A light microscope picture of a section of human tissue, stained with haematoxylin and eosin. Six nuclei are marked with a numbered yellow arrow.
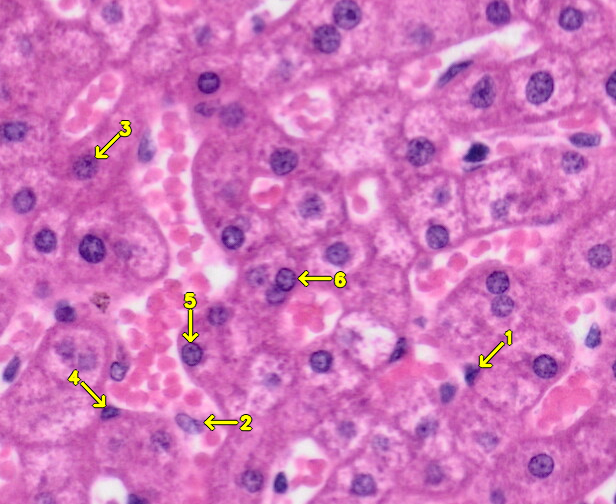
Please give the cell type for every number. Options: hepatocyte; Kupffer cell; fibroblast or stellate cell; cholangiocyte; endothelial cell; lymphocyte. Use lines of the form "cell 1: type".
cell 1: endothelial cell
cell 2: Kupffer cell
cell 3: hepatocyte
cell 4: fibroblast or stellate cell
cell 5: hepatocyte
cell 6: hepatocyte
